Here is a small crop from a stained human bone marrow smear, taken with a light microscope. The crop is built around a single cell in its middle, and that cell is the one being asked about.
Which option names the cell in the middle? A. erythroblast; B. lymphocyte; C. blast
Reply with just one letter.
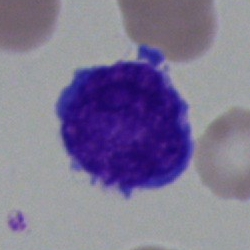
C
